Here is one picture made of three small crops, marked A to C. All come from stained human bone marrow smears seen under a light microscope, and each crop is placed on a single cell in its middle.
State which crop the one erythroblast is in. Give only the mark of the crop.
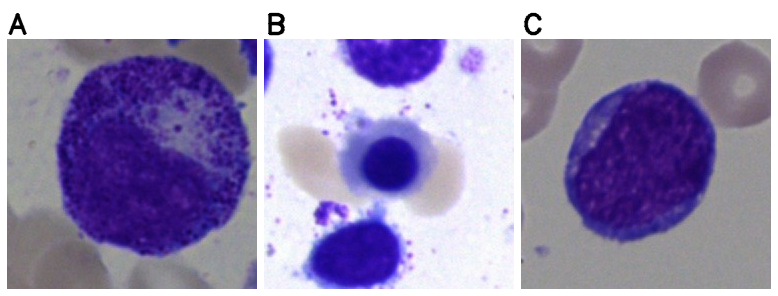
B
